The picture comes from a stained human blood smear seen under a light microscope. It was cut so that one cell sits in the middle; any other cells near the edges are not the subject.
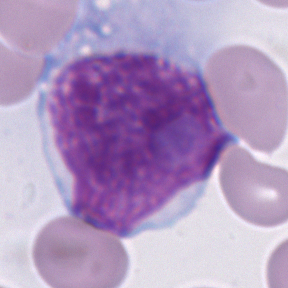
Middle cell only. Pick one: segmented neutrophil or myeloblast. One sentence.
The cell under consideration, at the middle of the crop, is a myeloblast.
